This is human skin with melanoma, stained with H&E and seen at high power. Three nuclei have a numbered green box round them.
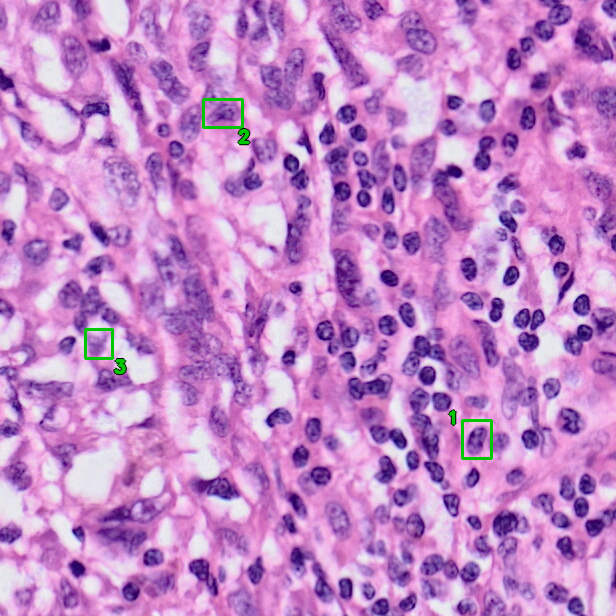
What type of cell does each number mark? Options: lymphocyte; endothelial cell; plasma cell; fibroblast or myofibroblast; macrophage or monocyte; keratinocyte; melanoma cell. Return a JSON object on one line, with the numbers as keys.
{"1": "lymphocyte", "2": "melanoma cell", "3": "melanoma cell"}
